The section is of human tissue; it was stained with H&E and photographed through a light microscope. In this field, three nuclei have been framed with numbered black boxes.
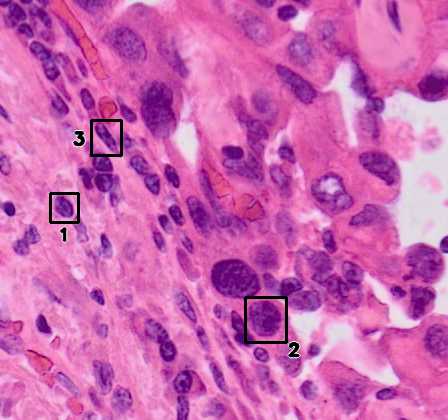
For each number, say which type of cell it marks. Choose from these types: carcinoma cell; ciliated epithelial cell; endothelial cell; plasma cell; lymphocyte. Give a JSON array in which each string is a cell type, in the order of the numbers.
["lymphocyte", "carcinoma cell", "plasma cell"]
